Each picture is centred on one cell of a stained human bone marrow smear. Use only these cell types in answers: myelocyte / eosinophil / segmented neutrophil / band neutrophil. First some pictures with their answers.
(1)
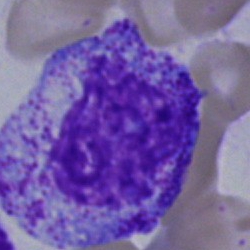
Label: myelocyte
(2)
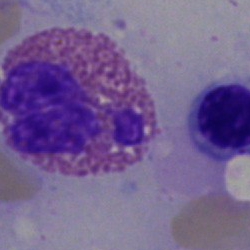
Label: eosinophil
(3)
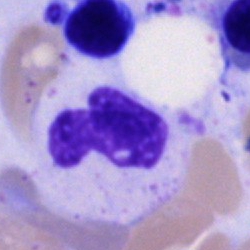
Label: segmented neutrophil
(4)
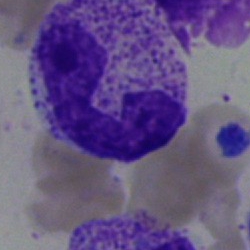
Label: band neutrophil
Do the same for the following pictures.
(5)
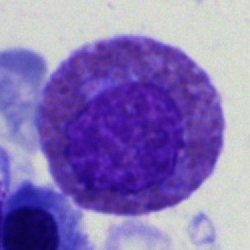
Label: eosinophil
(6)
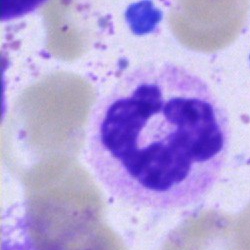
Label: segmented neutrophil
